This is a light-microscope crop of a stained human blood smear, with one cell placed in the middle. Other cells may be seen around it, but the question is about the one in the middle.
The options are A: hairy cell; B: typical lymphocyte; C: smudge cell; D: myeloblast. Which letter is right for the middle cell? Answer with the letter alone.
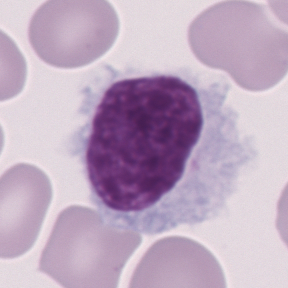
A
